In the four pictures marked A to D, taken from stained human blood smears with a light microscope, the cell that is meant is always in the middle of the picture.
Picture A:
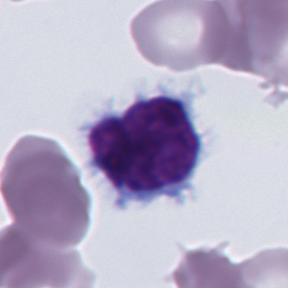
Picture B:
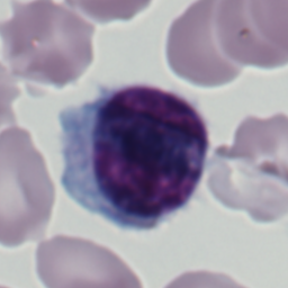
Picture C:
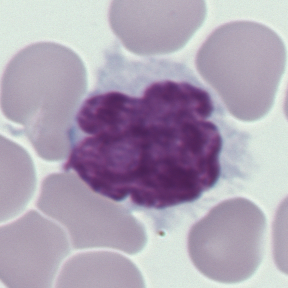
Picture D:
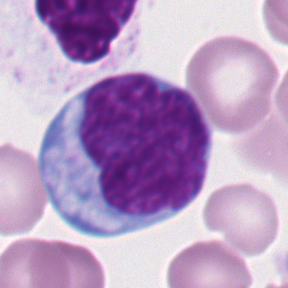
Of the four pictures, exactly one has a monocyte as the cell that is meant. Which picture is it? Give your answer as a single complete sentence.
Picture D shows the monocyte.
